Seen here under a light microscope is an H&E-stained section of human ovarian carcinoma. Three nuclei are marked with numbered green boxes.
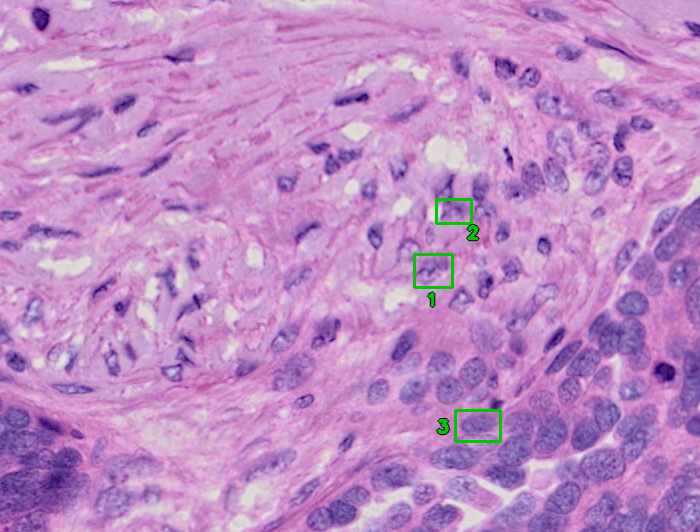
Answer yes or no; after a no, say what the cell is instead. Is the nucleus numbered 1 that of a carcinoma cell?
No, it is a fibroblast.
